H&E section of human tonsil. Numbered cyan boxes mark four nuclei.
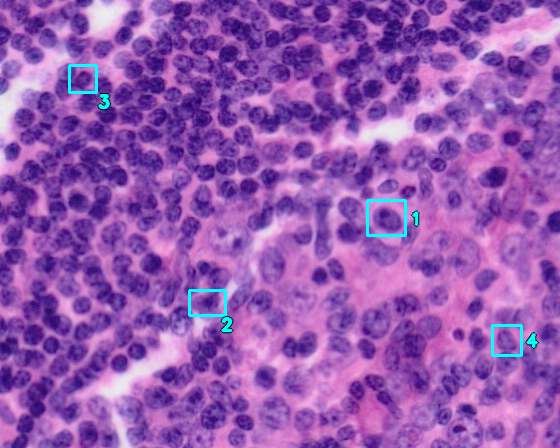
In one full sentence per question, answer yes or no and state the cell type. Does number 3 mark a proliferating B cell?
No, cell 3 is correctly identified as a small lymphocyte and not as a proliferating B cell.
